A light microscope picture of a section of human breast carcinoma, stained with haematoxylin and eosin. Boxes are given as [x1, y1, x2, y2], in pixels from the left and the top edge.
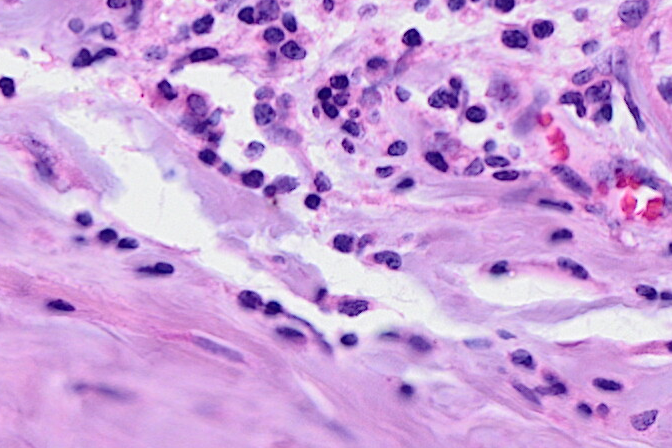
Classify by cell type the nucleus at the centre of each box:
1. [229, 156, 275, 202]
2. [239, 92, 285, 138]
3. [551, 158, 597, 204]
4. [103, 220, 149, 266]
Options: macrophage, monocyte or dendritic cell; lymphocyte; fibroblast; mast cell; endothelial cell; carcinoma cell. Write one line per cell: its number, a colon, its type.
1: lymphocyte
2: lymphocyte
3: endothelial cell
4: lymphocyte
